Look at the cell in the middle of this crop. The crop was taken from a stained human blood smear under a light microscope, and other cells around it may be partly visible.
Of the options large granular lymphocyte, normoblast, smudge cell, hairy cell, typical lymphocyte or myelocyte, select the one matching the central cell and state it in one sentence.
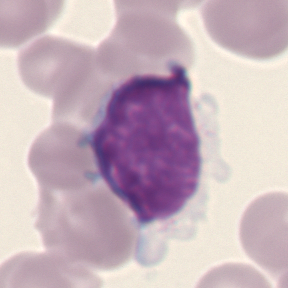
At the middle of the frame sits a large granular lymphocyte.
